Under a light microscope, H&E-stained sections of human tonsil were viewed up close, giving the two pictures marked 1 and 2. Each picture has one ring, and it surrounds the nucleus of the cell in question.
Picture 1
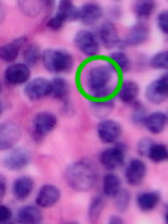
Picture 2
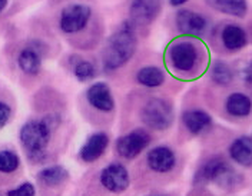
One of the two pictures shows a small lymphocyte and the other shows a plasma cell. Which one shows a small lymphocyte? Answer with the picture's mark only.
1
